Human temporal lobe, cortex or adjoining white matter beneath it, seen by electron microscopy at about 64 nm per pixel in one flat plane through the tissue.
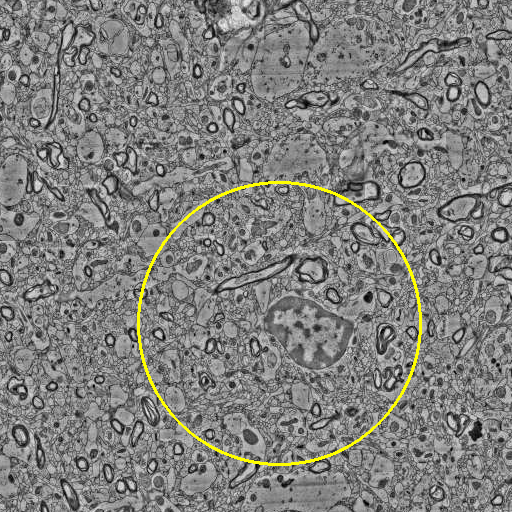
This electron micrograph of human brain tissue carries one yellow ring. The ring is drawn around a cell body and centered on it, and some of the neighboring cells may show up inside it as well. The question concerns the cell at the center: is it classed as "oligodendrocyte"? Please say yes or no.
No, it is classed as another kind.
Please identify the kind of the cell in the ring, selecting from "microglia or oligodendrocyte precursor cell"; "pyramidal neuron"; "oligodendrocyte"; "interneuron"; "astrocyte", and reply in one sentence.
The cell at the ring centre is a microglial cell or oligodendrocyte precursor cell.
